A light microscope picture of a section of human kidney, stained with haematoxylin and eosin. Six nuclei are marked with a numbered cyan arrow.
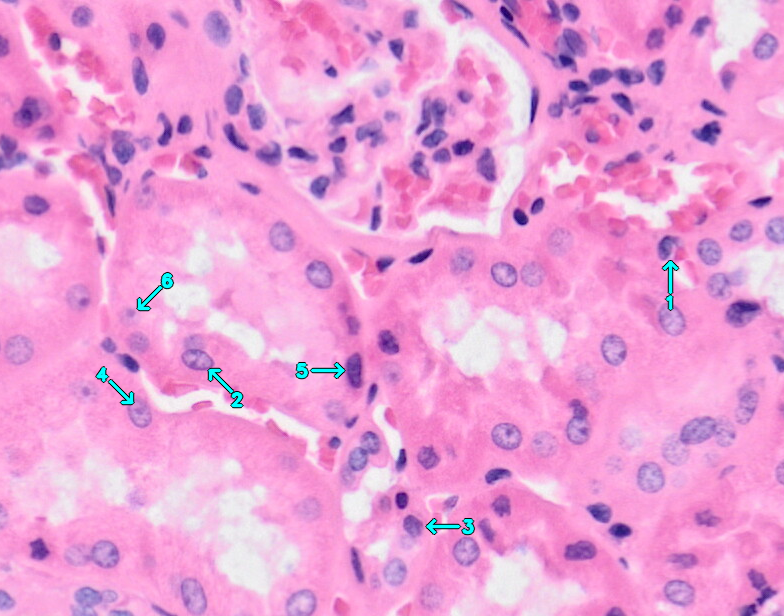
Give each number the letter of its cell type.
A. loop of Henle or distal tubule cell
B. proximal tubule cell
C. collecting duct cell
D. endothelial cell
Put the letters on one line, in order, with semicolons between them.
D; B; C; B; B; B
